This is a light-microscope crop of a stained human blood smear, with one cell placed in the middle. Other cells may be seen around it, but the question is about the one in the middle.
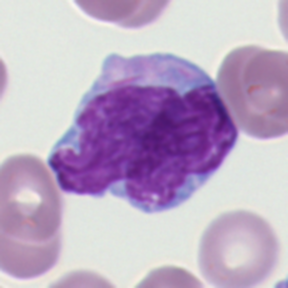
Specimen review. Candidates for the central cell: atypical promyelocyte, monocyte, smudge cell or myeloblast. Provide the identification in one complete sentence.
Here the cell in the middle is an atypical promyelocyte.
